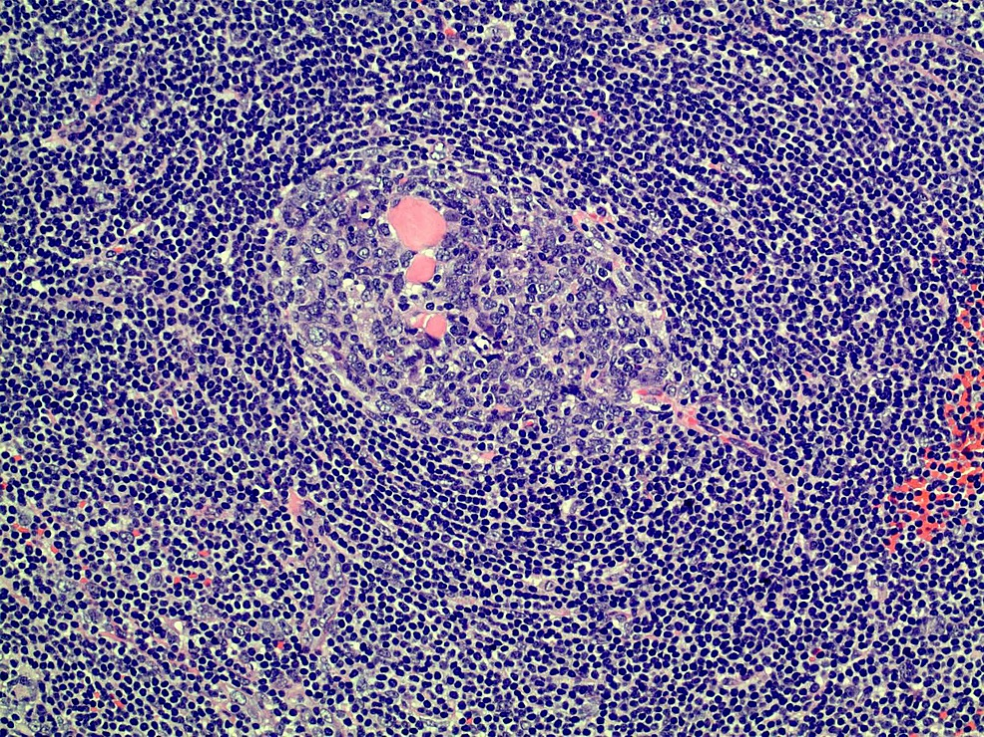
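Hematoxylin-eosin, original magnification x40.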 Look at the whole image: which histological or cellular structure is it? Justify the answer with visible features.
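A small rounded central cluster of larger cells with paler, oval nuclei and pink cytoplasm. The pale central cluster is small relative to the wide rim of small dark lymphocytes around it. Round glassy pink material lies within the pale central cluster.
Hence: atretic germinal center.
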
